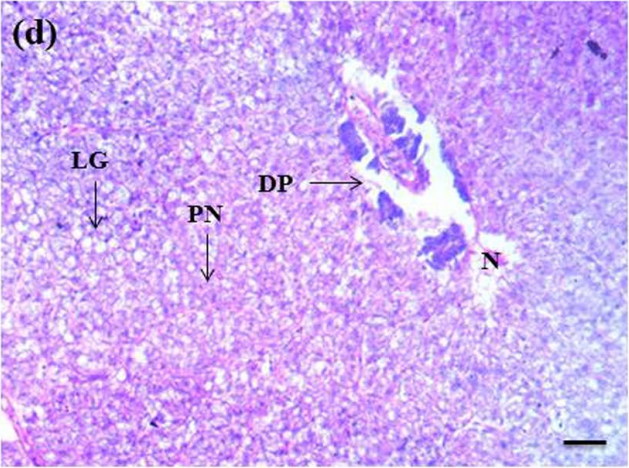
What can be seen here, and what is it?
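This is fish liver with damaged hepatocytes: much of the parenchyma is filled with many clear, rounded spaces, giving a foamy, bubbly look, consistent with lipid accumulation in the cells. Toward the centre right, a vessel lies in an open, empty cleft, and the purple pancreatic tissue that should surround it is reduced to a few scattered dark clumps. Beside it, a pale, poorly structured area stands out, where the tissue appears to have broken down. The whole field lacks the compact, even texture of healthy liver.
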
